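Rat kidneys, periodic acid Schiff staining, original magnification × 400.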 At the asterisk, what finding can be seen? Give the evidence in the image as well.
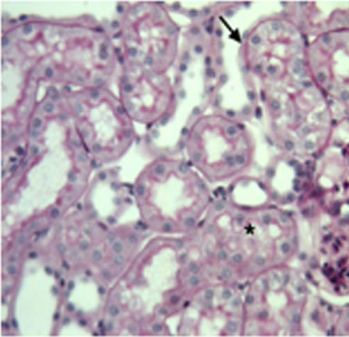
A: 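Tubular vacuolization. The tubule at the asterisk has lining cells with pale, clear spaces in the cytoplasm. Many tubules in the field have wide, empty-looking lumens and pale cells.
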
